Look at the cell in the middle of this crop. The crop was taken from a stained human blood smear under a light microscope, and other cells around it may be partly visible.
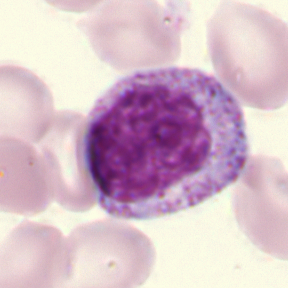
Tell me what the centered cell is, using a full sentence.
The cell the crop is centered on is a myelocyte.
